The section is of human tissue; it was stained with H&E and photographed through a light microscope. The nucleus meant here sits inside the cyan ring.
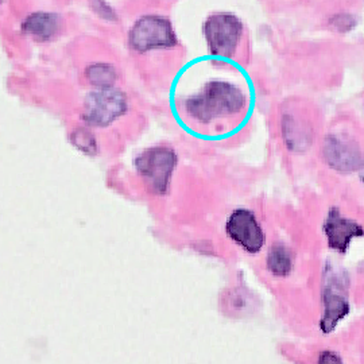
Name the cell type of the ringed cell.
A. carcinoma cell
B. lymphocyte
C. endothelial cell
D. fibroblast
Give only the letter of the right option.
A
